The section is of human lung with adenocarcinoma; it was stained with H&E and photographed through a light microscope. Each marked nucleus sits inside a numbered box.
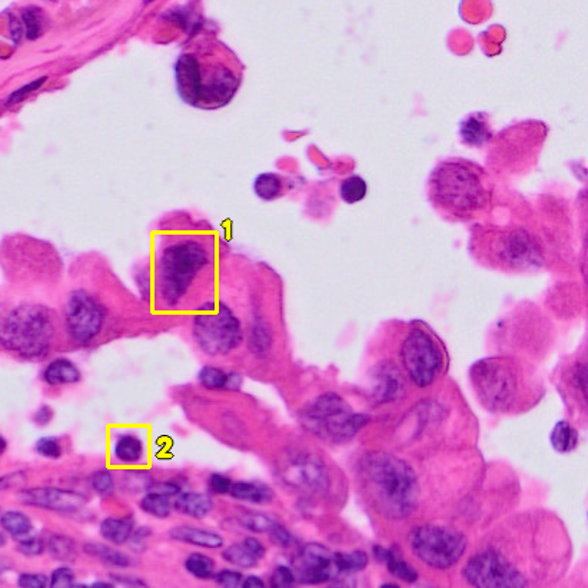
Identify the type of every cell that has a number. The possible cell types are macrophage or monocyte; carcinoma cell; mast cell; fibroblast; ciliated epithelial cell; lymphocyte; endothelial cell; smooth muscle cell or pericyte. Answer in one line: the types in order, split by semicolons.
carcinoma cell; lymphocyte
